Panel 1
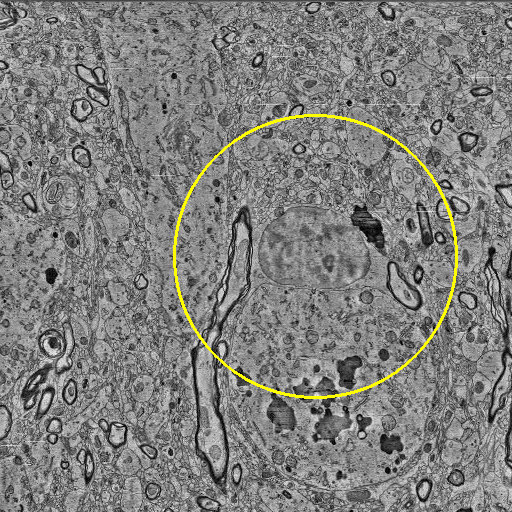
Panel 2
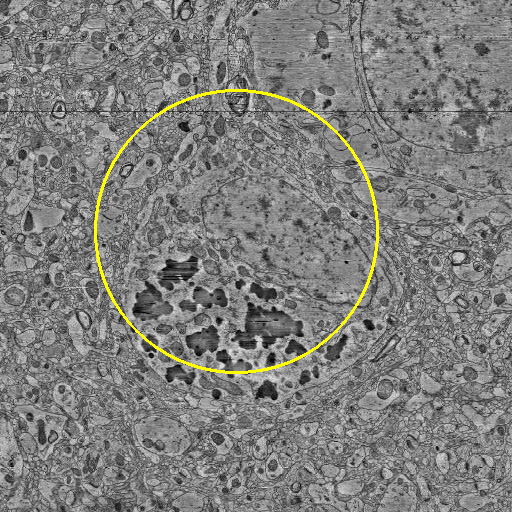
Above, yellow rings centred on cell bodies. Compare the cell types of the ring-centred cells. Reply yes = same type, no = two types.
no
